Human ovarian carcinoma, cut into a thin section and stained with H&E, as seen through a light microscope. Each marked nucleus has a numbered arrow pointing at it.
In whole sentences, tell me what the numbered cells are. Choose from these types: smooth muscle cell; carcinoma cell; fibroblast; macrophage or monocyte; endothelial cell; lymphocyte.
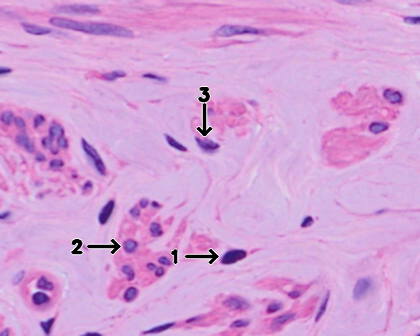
Cell 1 is a lymphocyte. Cell 2 is a smooth muscle cell. Cell 3 is a fibroblast.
